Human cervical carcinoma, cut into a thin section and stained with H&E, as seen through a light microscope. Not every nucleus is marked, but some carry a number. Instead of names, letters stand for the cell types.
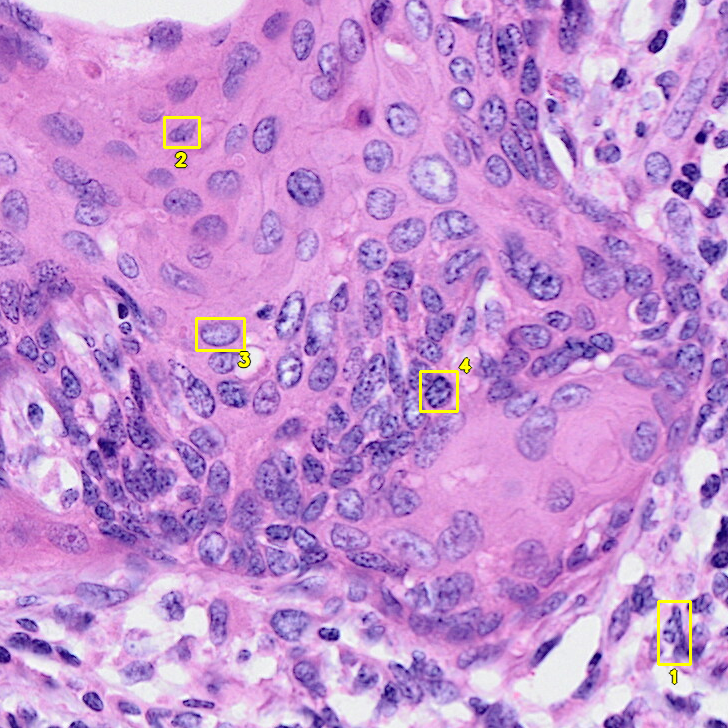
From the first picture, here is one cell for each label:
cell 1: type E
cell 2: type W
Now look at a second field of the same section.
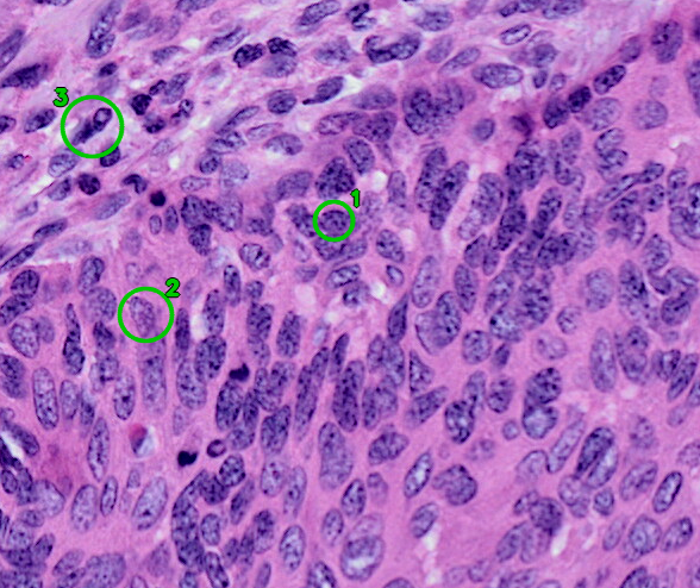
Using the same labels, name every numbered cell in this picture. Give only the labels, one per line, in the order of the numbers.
type W
type W
type E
